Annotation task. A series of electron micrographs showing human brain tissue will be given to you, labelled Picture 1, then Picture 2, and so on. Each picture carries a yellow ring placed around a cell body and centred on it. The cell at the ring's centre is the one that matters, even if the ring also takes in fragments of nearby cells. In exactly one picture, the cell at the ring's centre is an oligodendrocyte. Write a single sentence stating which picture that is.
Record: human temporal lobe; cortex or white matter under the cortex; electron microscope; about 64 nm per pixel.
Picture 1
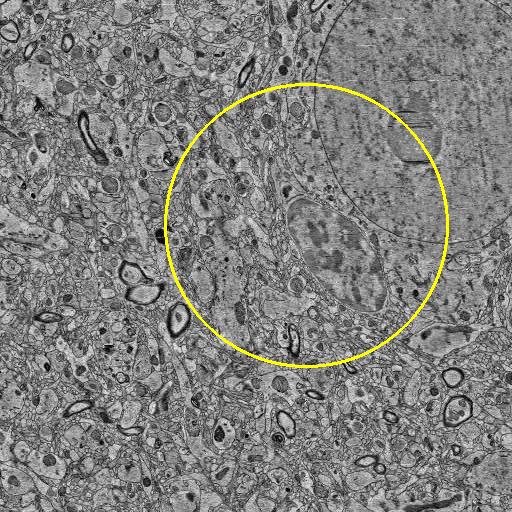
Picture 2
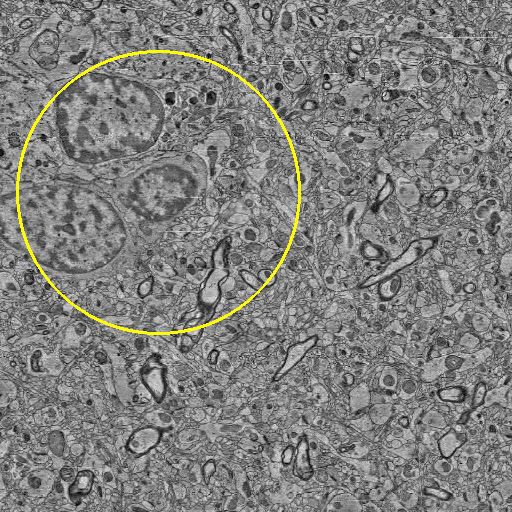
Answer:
Picture 2 holds the requested cell at the very centre of its ring.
